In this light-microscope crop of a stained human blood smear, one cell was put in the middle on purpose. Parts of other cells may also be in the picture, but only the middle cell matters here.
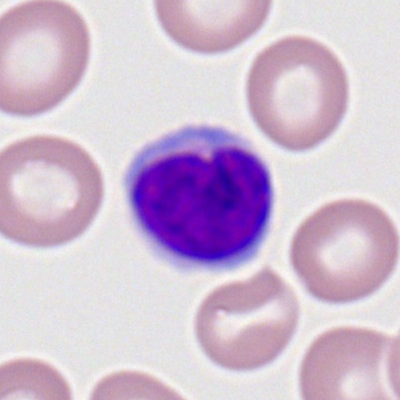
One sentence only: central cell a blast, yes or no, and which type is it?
No, the cell in the middle of the crop counts as a lymphocyte and not as a blast.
